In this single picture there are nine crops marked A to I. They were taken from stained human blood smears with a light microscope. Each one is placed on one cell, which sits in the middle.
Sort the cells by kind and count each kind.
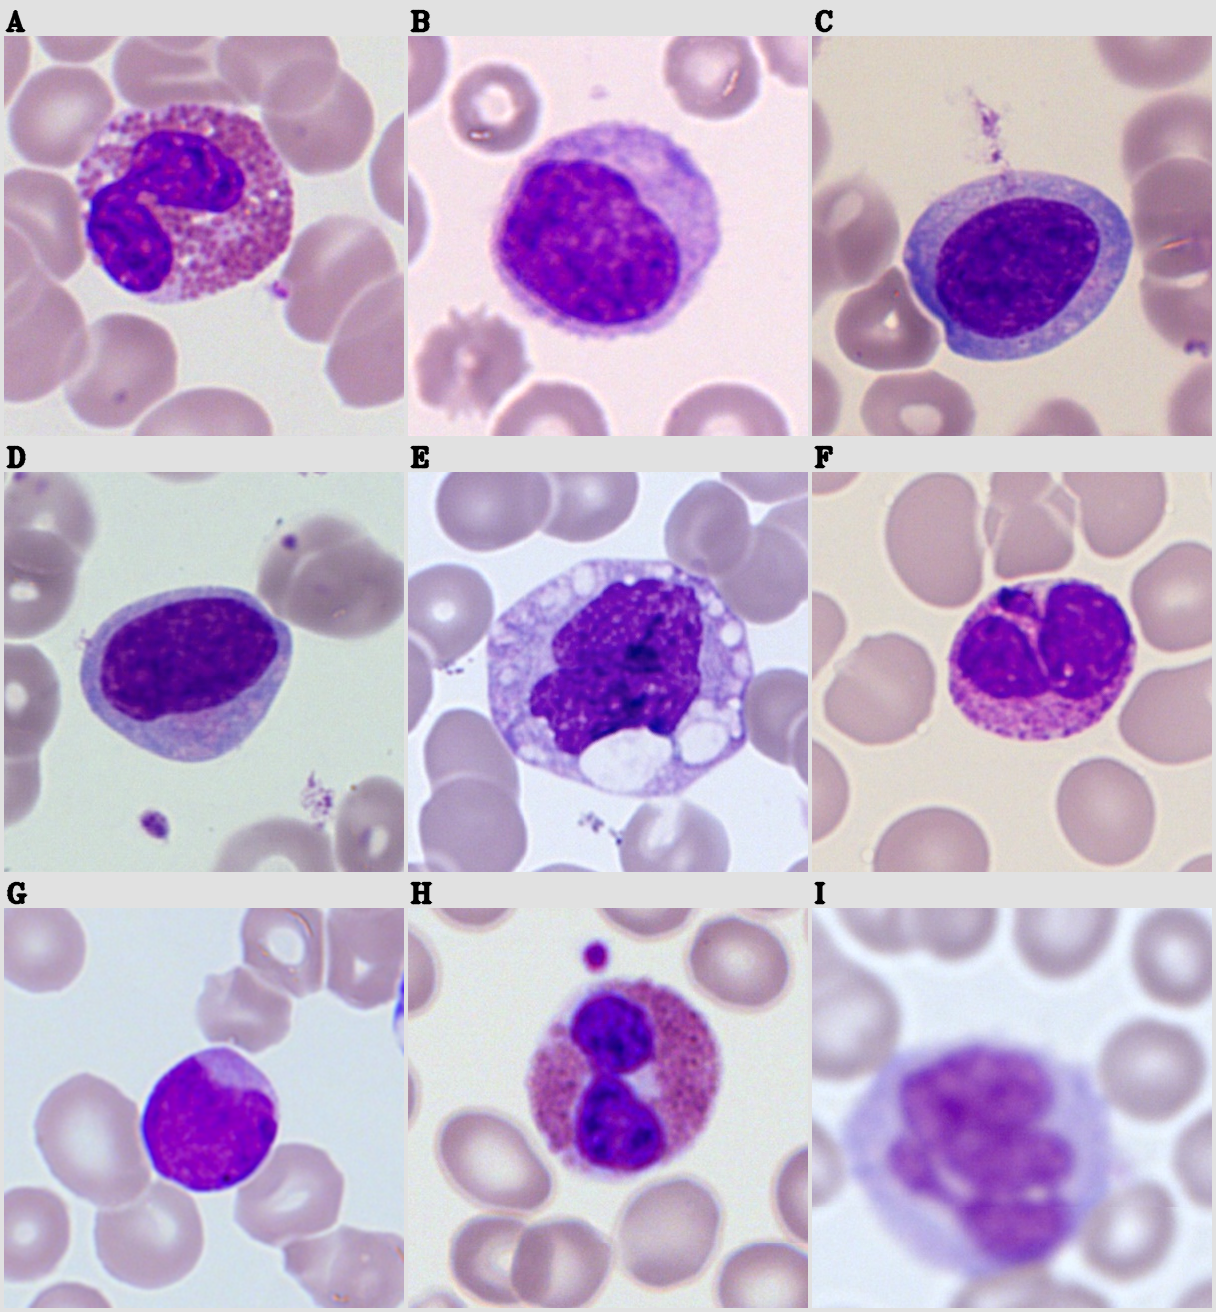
eosinophil: 3
monocyte: 3
blast: 3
